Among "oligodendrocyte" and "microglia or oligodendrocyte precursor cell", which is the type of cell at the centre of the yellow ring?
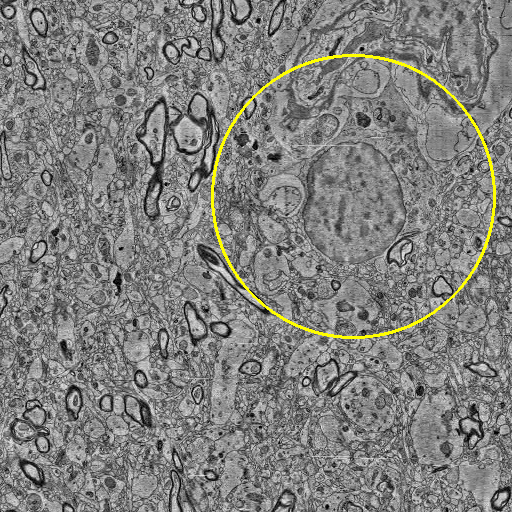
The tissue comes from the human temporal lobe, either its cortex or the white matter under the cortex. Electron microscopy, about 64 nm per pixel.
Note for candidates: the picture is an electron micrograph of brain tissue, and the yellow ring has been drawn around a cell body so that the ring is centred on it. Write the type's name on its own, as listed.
oligodendrocyte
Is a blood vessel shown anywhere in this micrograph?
Yes.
